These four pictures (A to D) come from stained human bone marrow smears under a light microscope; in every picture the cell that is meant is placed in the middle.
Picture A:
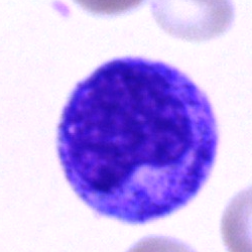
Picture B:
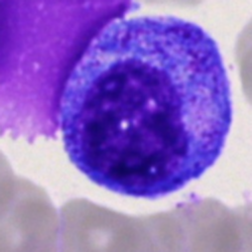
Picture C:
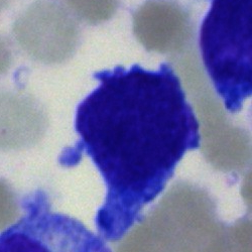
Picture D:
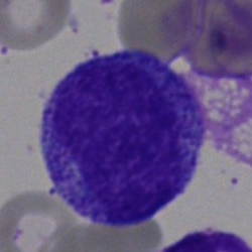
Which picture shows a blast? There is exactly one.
C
